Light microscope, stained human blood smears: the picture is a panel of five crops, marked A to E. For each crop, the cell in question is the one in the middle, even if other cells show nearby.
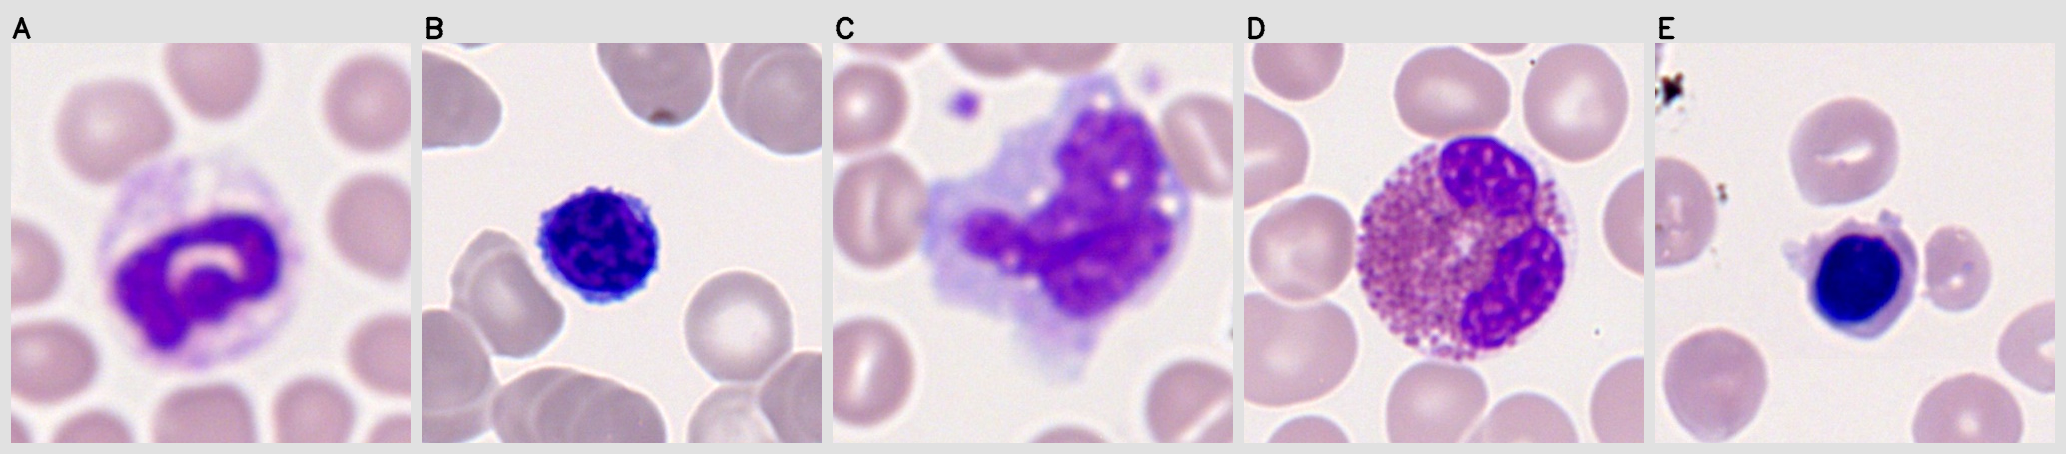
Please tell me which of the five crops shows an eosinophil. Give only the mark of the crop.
D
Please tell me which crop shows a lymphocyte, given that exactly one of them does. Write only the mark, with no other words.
B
